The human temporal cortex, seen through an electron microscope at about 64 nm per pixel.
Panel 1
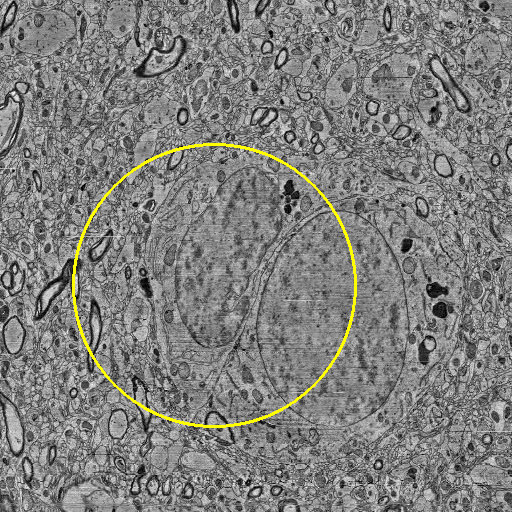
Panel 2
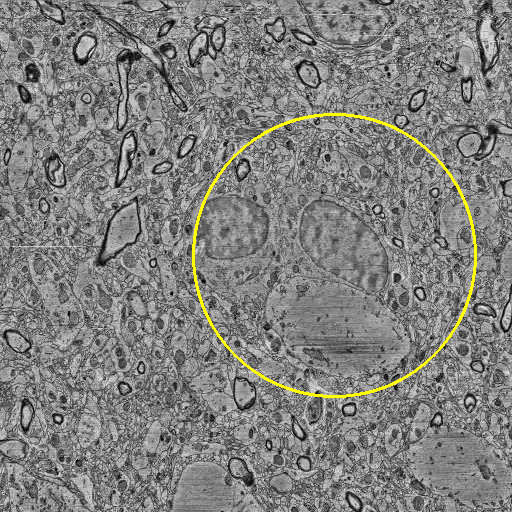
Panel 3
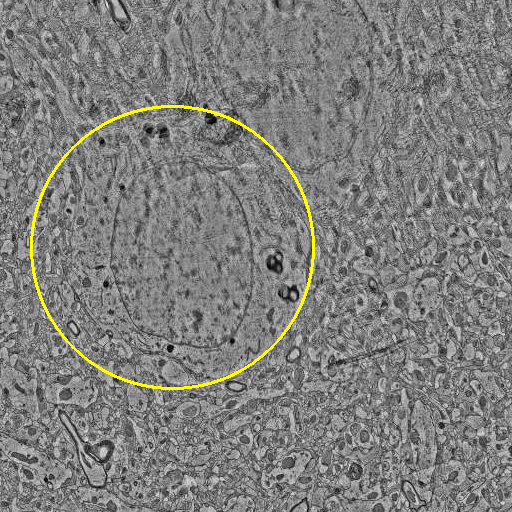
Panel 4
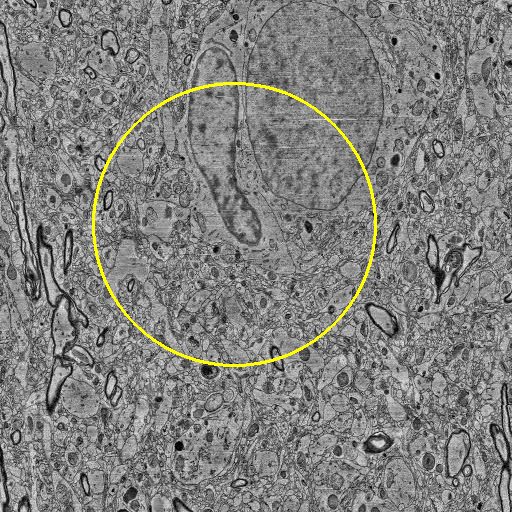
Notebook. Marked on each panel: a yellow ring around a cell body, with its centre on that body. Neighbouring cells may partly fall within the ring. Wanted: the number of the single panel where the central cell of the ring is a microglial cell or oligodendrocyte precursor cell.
4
